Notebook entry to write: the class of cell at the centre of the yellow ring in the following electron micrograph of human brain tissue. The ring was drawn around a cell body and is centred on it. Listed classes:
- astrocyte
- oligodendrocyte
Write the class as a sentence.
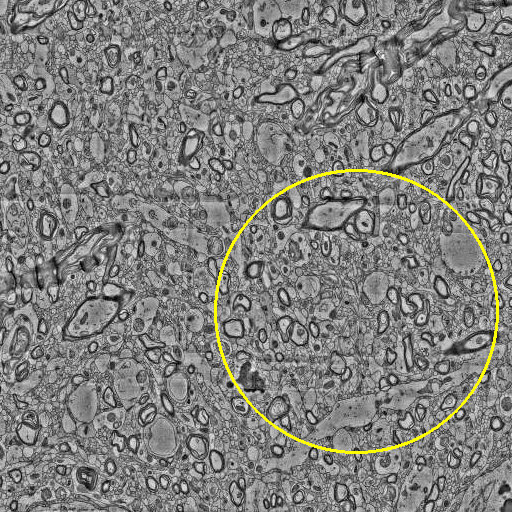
The yellow ring sits on an oligodendrocyte.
